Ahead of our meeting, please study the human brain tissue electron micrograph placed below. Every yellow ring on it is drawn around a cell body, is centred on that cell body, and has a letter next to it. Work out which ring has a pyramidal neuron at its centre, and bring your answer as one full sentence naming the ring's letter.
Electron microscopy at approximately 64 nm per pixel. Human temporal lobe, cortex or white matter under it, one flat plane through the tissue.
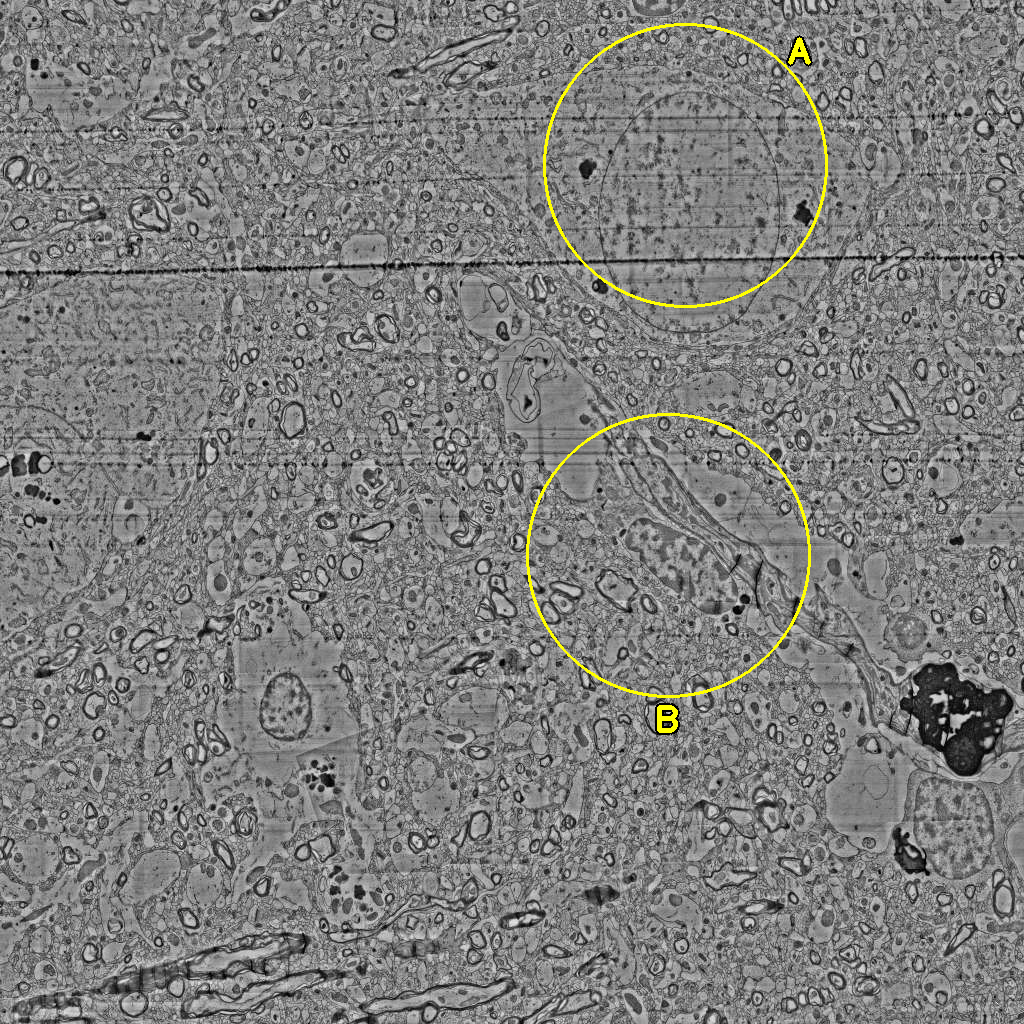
In the micrograph, ring A is the one centred on the cell I was asked to find.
